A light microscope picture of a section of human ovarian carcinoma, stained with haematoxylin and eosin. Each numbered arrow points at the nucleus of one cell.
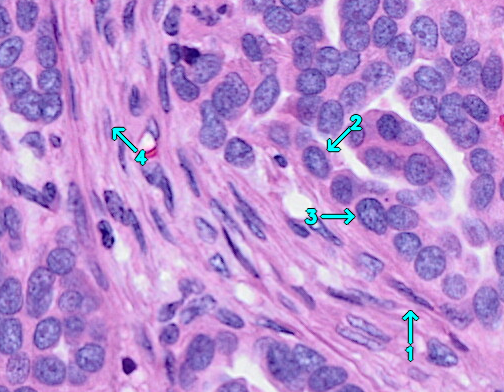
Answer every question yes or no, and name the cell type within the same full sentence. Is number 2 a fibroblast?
No, as for cell 2, it is a carcinoma cell and not a fibroblast.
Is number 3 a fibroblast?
No, number 3 is assigned to a carcinoma cell, not to a fibroblast.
